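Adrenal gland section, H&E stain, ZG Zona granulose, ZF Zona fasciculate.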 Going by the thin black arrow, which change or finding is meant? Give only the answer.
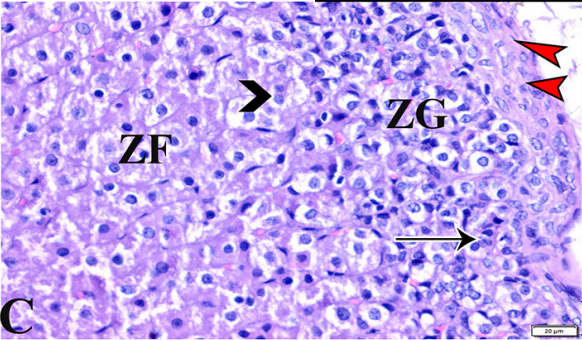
Pyknotic cellular nuclei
